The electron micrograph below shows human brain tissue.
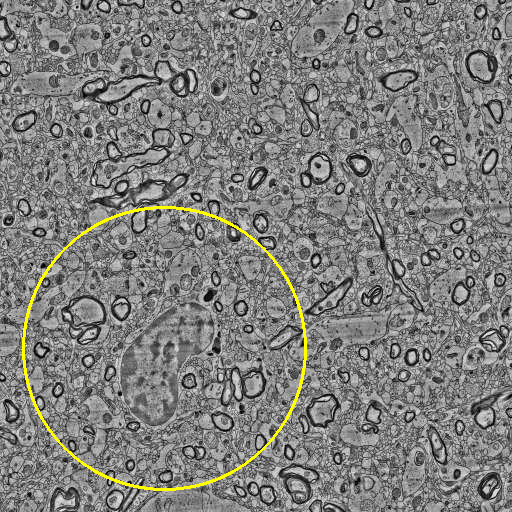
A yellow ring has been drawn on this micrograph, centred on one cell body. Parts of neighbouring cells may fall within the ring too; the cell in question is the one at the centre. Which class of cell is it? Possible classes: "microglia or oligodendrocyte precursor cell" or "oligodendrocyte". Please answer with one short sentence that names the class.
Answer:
In the centre of the ring sits a microglial cell or oligodendrocyte precursor cell.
